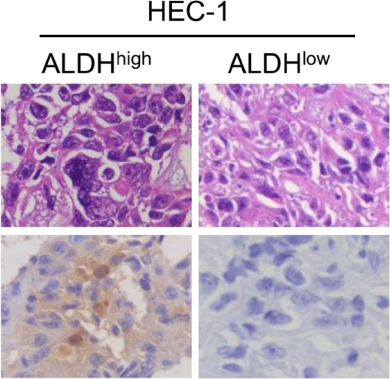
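Upper fields, pink-purple stain: cells with large, irregular, dark purple nuclei, some very enlarged and clumped, set in pink cytoplasm with pale stromal strands between groups. Lower fields: in the left field many tumor cells carry a diffuse brown cytoplasmic stain around blue nuclei; in the right field the cells show only blue oval nuclei on a pale background, with no brown stain. Cells lie in loose sheets without clear glandular arrangement.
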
